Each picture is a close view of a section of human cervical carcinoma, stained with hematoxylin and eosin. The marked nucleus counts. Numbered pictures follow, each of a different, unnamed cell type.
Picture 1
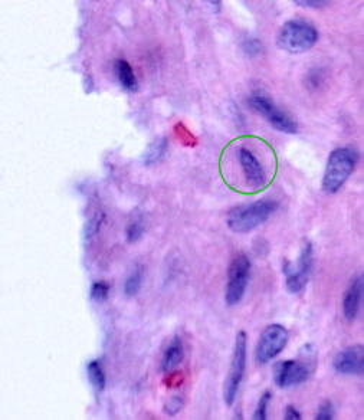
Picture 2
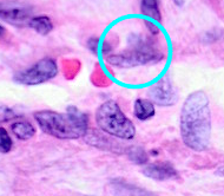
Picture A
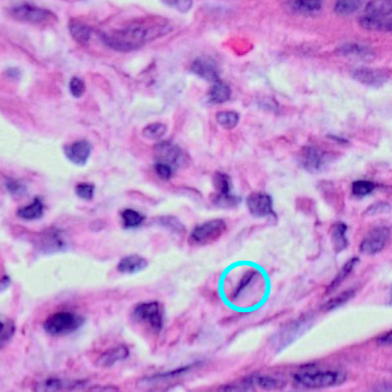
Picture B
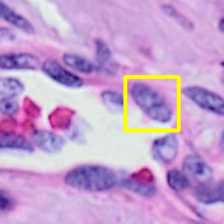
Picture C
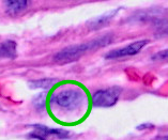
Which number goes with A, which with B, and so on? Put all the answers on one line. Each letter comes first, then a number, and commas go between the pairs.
A 1, B 2, C 2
